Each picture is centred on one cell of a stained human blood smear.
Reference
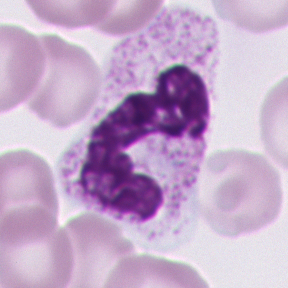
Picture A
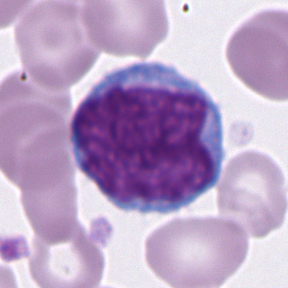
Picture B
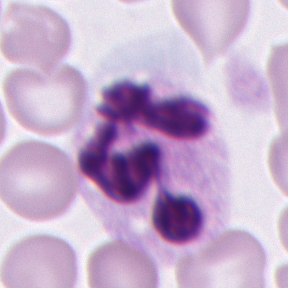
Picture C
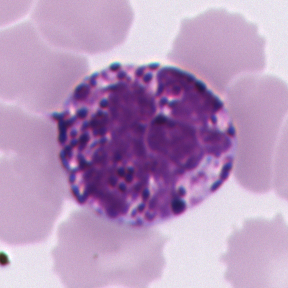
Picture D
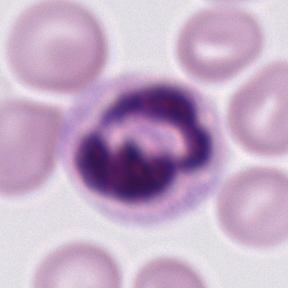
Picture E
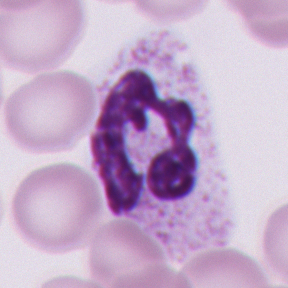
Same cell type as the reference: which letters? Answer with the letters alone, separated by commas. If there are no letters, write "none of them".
B, D, E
